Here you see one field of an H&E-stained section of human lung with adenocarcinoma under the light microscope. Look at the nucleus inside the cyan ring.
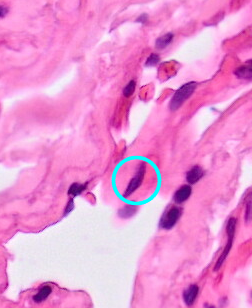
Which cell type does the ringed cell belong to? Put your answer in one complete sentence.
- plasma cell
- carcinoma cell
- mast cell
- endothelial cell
The identity of the ringed cell: it is an endothelial cell.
